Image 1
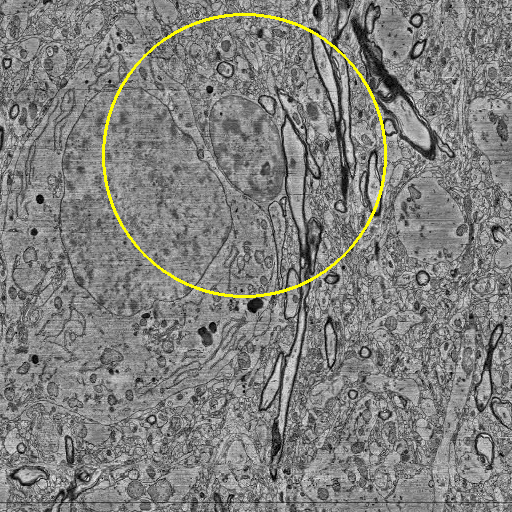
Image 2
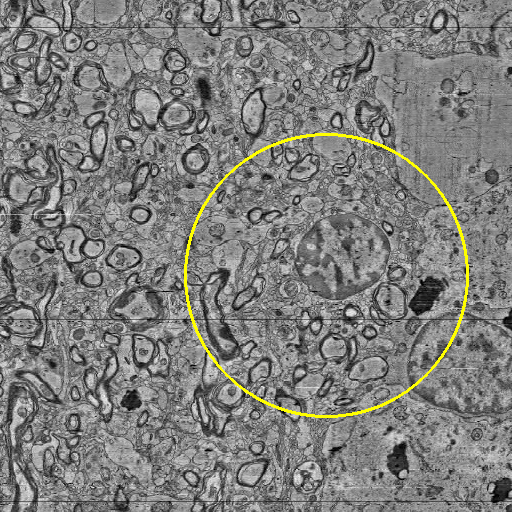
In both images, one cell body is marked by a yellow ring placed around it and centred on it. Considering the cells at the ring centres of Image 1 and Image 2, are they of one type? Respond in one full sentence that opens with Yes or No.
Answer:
No, two types apply to the ring-centred cells of Image 1 and Image 2.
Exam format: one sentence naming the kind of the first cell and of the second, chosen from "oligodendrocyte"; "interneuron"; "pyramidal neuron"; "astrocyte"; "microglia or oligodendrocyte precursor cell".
The first picture's cell is an oligodendrocyte, and the second picture's cell is a microglial cell or oligodendrocyte precursor cell.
